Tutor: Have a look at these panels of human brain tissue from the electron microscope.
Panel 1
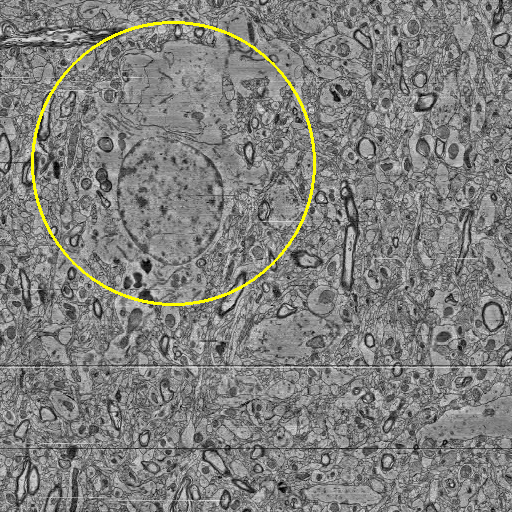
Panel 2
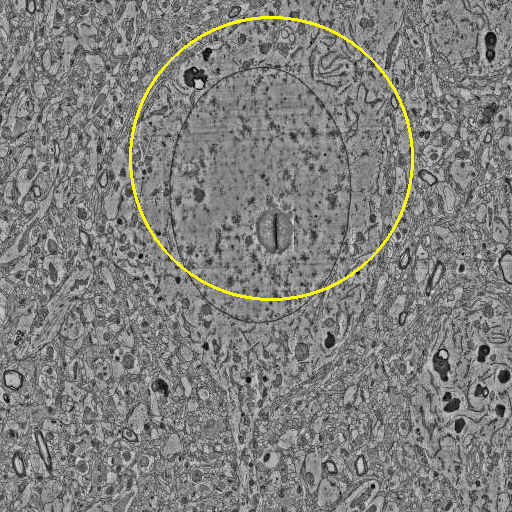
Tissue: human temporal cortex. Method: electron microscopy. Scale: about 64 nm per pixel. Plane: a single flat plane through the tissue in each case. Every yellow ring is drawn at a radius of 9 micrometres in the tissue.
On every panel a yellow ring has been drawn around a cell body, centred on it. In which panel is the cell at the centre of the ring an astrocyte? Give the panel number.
1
